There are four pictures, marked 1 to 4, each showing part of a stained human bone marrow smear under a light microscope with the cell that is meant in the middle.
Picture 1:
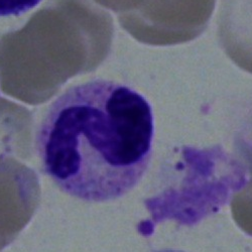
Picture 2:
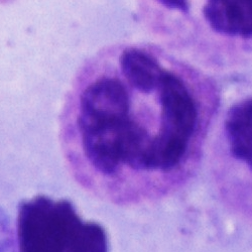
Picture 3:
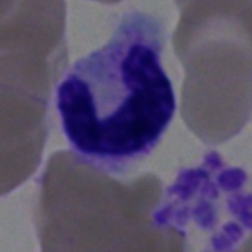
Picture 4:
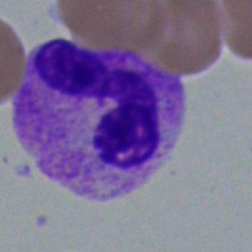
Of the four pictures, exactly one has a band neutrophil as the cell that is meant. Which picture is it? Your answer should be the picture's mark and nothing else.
4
